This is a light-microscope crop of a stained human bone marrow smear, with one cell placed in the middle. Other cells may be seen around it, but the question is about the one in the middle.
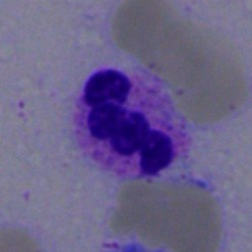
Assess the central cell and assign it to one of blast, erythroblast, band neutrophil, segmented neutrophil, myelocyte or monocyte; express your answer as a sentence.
The centrally located cell in the crop is a segmented neutrophil.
